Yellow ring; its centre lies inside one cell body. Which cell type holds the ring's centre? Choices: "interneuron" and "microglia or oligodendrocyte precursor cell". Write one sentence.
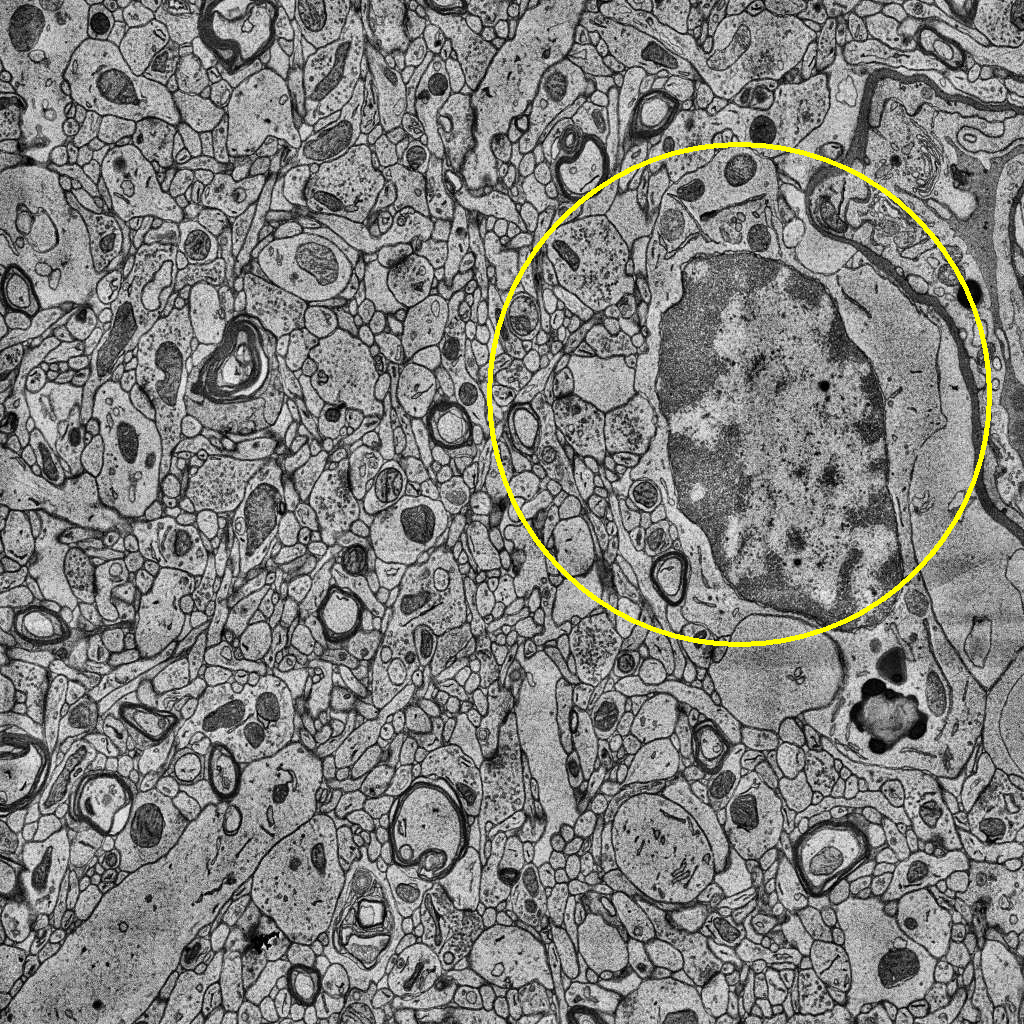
At the centre of the ring sits a microglial cell or oligodendrocyte precursor cell.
